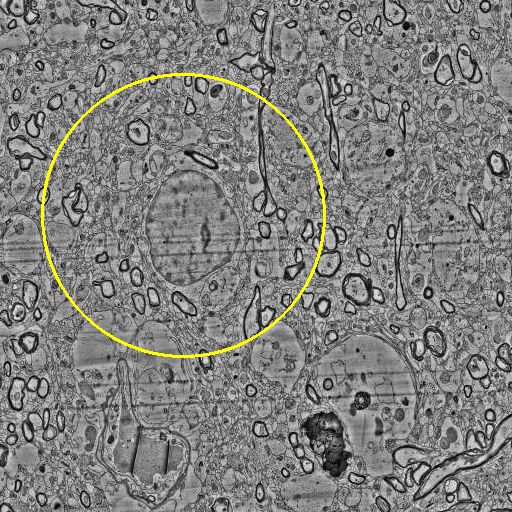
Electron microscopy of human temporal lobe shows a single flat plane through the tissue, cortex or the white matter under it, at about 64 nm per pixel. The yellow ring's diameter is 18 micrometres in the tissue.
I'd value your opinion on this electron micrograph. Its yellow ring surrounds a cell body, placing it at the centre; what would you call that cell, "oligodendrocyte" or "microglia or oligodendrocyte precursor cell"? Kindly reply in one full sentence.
It is a microglial cell or oligodendrocyte precursor cell that sits centred within the yellow ring in this micrograph.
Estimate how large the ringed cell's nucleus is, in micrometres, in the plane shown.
The ringed cell's nucleus measures approximately 7 by 6 micrometres in this plane.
